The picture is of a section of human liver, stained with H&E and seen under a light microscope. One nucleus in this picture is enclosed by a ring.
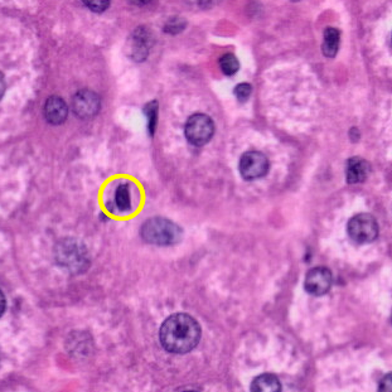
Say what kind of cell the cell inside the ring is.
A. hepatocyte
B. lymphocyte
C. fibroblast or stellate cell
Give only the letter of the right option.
C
